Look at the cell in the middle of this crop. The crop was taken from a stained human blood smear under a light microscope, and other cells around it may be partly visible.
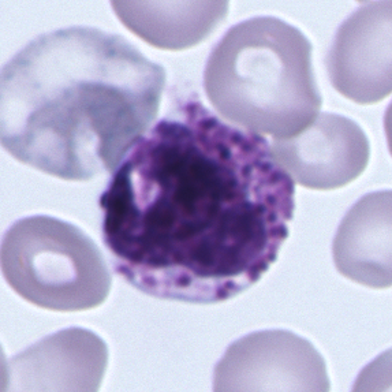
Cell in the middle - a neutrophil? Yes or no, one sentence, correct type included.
No, it isn't a neutrophil; what sits in the middle is a basophil.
